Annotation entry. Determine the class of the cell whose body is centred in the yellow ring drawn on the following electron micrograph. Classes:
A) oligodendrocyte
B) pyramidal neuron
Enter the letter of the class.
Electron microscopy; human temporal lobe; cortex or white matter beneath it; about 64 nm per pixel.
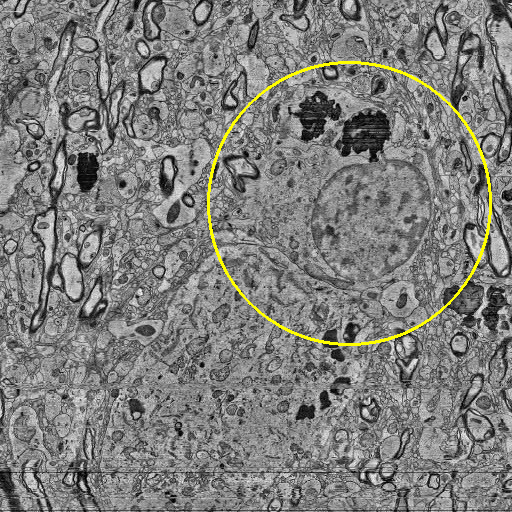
A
